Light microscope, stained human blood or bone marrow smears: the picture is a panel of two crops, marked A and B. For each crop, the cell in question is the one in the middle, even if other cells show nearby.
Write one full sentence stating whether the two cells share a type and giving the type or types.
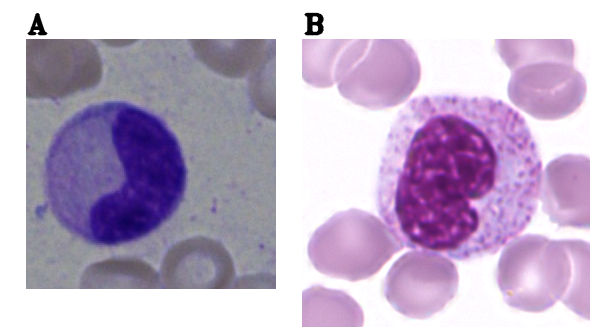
Yes, band neutrophils are the cells shown in both crops.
